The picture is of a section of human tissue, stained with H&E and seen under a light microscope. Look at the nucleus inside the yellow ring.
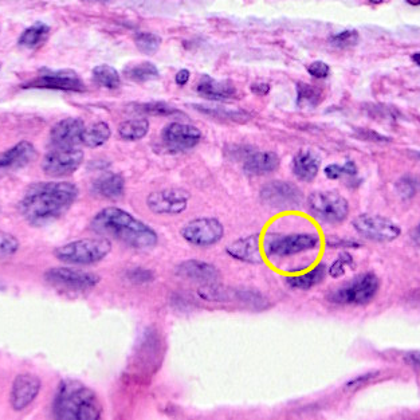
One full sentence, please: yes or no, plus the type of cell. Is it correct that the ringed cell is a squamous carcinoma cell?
Yes, the naming of the ringed cell as a squamous carcinoma cell is correct.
